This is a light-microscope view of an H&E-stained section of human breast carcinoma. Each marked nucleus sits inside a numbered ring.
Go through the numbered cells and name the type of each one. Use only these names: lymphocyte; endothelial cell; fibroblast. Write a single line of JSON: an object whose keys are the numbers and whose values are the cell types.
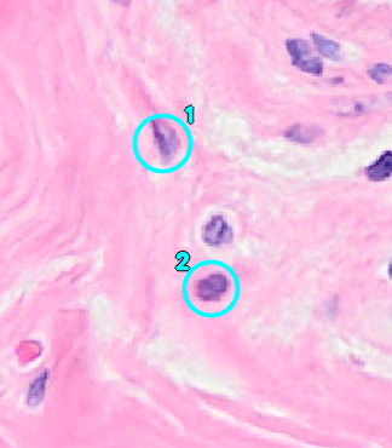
{"1": "fibroblast", "2": "lymphocyte"}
